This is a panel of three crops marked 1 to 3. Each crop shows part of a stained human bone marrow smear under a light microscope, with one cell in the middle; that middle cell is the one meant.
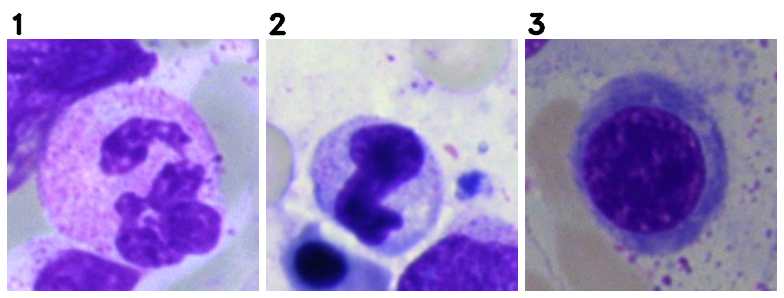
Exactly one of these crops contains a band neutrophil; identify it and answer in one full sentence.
Selected crop: 2, which is the one that shows a band neutrophil.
